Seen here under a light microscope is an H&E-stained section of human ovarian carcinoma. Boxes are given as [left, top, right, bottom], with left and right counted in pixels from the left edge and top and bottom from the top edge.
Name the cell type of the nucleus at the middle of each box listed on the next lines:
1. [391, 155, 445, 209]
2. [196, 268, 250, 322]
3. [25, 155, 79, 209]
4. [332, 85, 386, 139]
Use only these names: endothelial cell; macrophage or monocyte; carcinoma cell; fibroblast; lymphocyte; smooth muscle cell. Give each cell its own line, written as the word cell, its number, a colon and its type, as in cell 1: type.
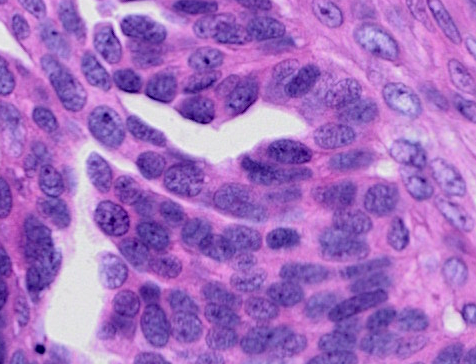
cell 1: fibroblast
cell 2: carcinoma cell
cell 3: carcinoma cell
cell 4: carcinoma cell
